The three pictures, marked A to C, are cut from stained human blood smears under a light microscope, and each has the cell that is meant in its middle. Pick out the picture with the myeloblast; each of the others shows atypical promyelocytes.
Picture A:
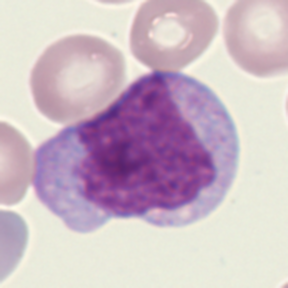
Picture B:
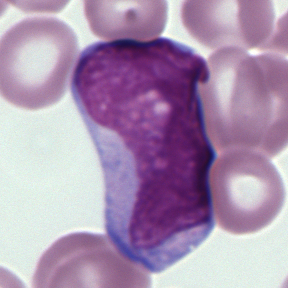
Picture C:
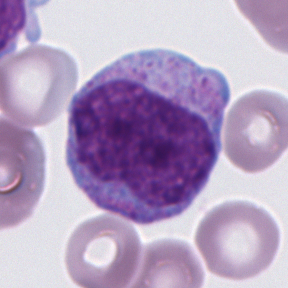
B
